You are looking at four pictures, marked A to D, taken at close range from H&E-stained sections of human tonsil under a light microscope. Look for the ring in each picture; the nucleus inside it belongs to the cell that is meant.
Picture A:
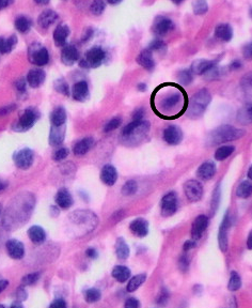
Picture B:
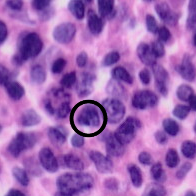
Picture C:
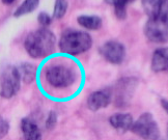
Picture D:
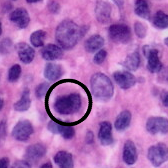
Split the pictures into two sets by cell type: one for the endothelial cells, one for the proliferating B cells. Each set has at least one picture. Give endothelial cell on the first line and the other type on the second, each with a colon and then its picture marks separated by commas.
endothelial cell: A
proliferating B cell: B, C, D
